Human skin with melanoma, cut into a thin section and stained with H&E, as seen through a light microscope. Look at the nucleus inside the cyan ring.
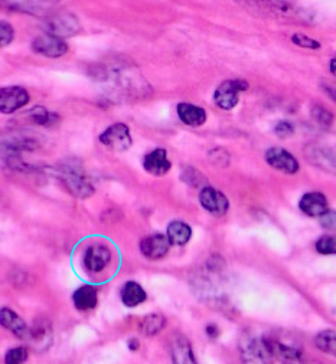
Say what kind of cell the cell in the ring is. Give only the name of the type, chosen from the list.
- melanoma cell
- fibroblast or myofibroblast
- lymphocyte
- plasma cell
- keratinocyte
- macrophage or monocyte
plasma cell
